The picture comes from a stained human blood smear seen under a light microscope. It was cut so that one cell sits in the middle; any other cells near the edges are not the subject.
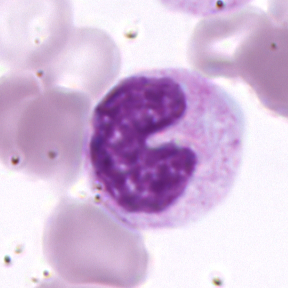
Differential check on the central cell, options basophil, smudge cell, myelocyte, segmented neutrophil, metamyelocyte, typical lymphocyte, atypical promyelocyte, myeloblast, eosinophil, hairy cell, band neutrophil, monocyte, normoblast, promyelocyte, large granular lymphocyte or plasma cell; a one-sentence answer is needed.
The identification for the central cell is a band neutrophil.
